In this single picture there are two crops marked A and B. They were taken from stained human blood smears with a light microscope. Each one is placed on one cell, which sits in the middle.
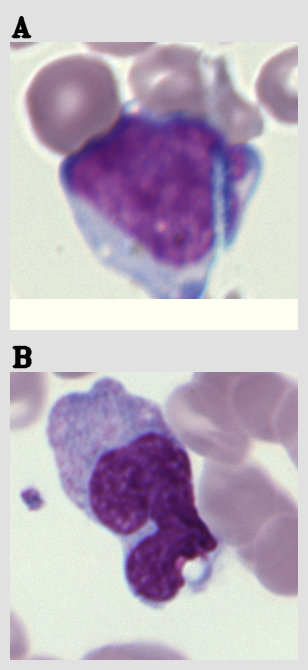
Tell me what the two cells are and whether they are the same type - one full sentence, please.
No, the cell in crop A is a blast and the one in crop B is a monocyte.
